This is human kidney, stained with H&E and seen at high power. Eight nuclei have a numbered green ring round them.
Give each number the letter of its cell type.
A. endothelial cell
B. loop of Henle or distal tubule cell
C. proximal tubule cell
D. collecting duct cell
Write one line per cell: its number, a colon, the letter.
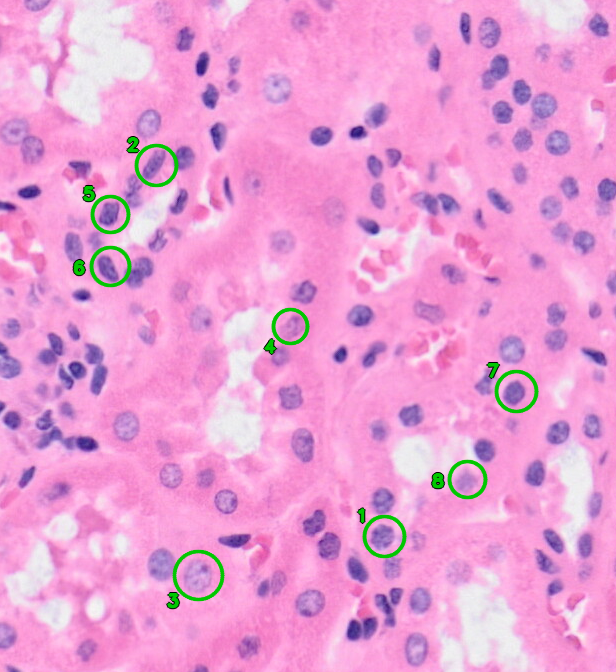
1: B
2: D
3: C
4: C
5: D
6: D
7: B
8: B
